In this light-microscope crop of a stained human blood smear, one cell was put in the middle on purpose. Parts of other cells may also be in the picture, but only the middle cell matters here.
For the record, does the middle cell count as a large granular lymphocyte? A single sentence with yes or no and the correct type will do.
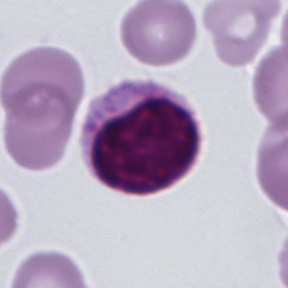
Yes, the cell in the center of the field is a large granular lymphocyte.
